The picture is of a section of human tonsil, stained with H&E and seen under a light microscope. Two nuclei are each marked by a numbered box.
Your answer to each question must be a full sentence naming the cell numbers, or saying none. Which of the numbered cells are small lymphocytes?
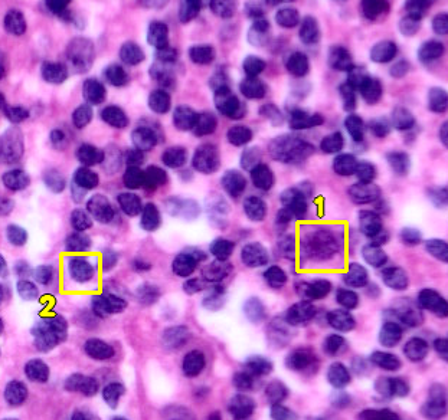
There is only one numbered cell that is a small lymphocyte, and it is cell 2.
